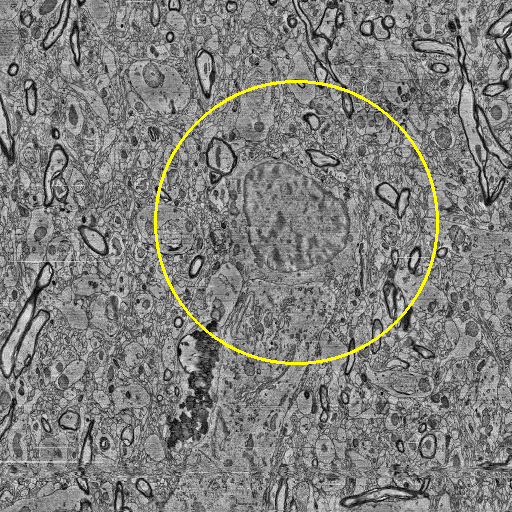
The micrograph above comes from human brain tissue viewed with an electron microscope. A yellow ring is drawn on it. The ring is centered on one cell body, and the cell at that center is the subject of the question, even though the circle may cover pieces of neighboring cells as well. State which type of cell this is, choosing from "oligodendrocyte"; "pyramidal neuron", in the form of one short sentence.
The cell the ring is centered on is an oligodendrocyte.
